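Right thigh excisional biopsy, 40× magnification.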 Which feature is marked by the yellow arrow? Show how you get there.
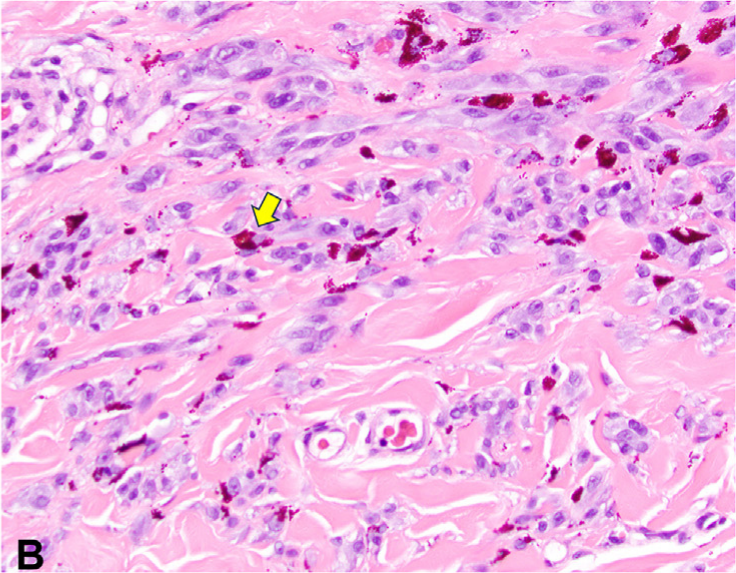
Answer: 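Red tattoo pigment. The arrow points at a dark maroon-red granular clump lying in the dermis. Many similar dark red granular deposits are scattered among the cells and collagen. The deposits are coarse, refractile-looking aggregates rather than a fine stain of the cytoplasm.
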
